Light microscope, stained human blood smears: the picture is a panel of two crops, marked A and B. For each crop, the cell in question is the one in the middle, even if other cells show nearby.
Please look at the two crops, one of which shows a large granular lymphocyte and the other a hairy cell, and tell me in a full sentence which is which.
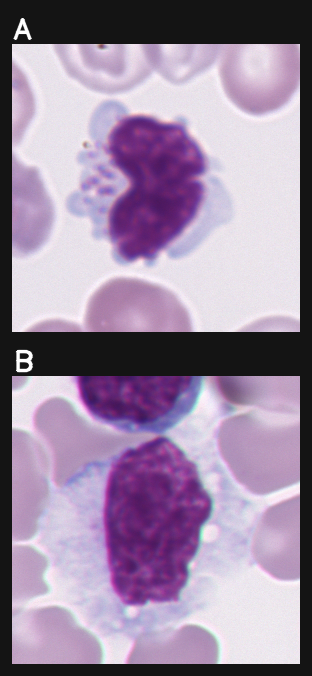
Crop A features a large granular lymphocyte, and crop B features a hairy cell.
